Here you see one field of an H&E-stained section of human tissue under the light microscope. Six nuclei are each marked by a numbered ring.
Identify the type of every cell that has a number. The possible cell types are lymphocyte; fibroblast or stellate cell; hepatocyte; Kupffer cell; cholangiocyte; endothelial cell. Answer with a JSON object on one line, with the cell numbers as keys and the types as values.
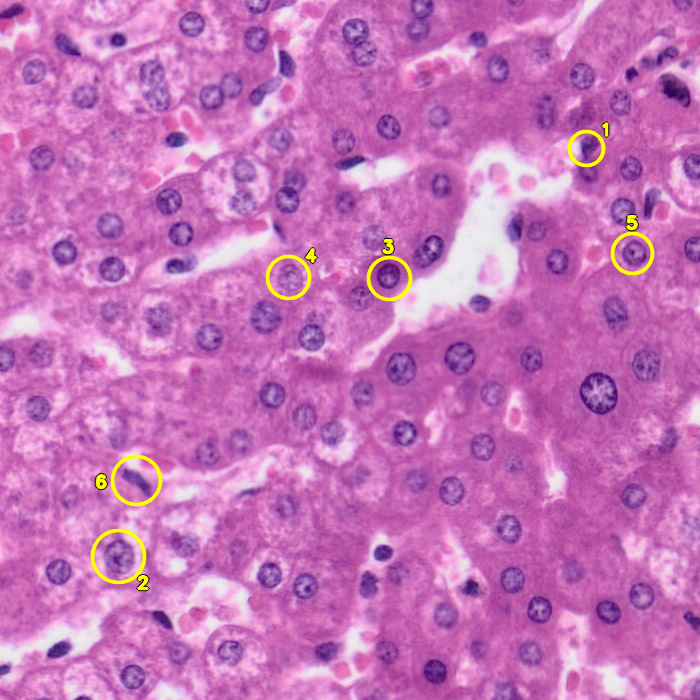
{"1": "fibroblast or stellate cell", "2": "hepatocyte", "3": "hepatocyte", "4": "hepatocyte", "5": "hepatocyte", "6": "Kupffer cell"}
